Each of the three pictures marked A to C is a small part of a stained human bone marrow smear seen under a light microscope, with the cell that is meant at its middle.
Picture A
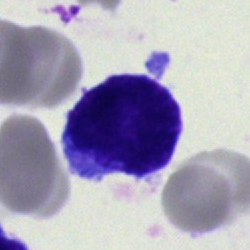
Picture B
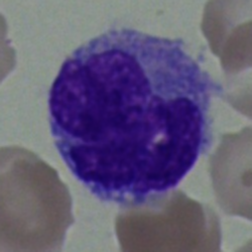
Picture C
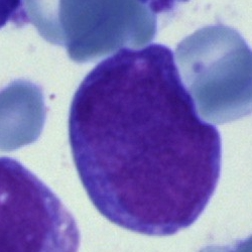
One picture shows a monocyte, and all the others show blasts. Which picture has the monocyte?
B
